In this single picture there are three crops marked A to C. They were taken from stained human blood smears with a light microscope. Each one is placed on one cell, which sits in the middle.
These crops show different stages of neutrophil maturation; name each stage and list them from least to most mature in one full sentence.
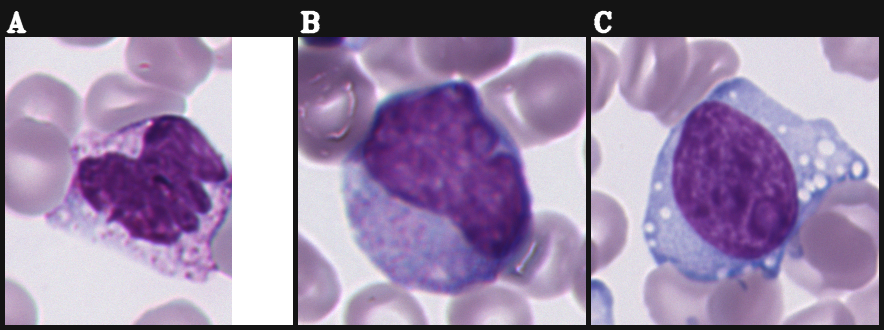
The sequence of maturation runs crop C (a myeloblast), crop B (a promyelocyte) and crop A (a segmented neutrophil), from least to most mature.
